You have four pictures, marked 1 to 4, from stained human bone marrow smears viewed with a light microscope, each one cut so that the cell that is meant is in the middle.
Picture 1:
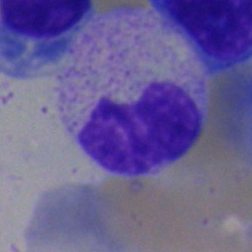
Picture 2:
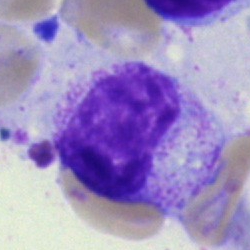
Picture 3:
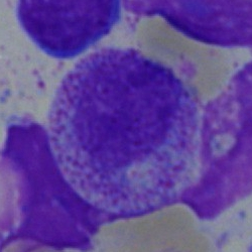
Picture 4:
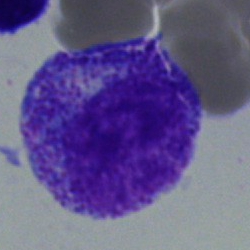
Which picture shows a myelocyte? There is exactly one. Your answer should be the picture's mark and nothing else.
3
